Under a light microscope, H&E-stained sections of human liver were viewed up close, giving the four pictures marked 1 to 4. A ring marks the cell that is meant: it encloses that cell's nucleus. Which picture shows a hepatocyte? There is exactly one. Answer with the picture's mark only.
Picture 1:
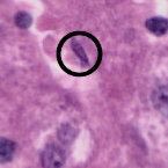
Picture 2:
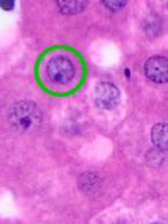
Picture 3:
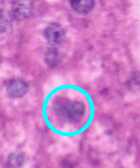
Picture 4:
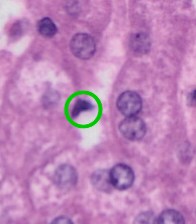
2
